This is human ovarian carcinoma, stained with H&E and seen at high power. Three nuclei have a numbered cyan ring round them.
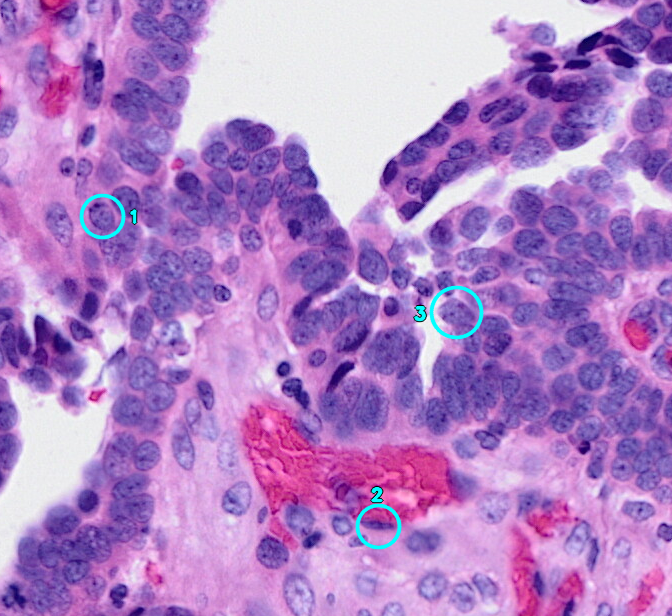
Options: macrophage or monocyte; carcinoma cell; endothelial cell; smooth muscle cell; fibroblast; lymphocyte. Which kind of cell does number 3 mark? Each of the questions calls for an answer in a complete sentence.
The cell identified by the number 3 is a carcinoma cell.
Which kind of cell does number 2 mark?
Here the cell numbered 2 is an endothelial cell.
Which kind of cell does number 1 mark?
Classified as a carcinoma cell is the cell with the number 1.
